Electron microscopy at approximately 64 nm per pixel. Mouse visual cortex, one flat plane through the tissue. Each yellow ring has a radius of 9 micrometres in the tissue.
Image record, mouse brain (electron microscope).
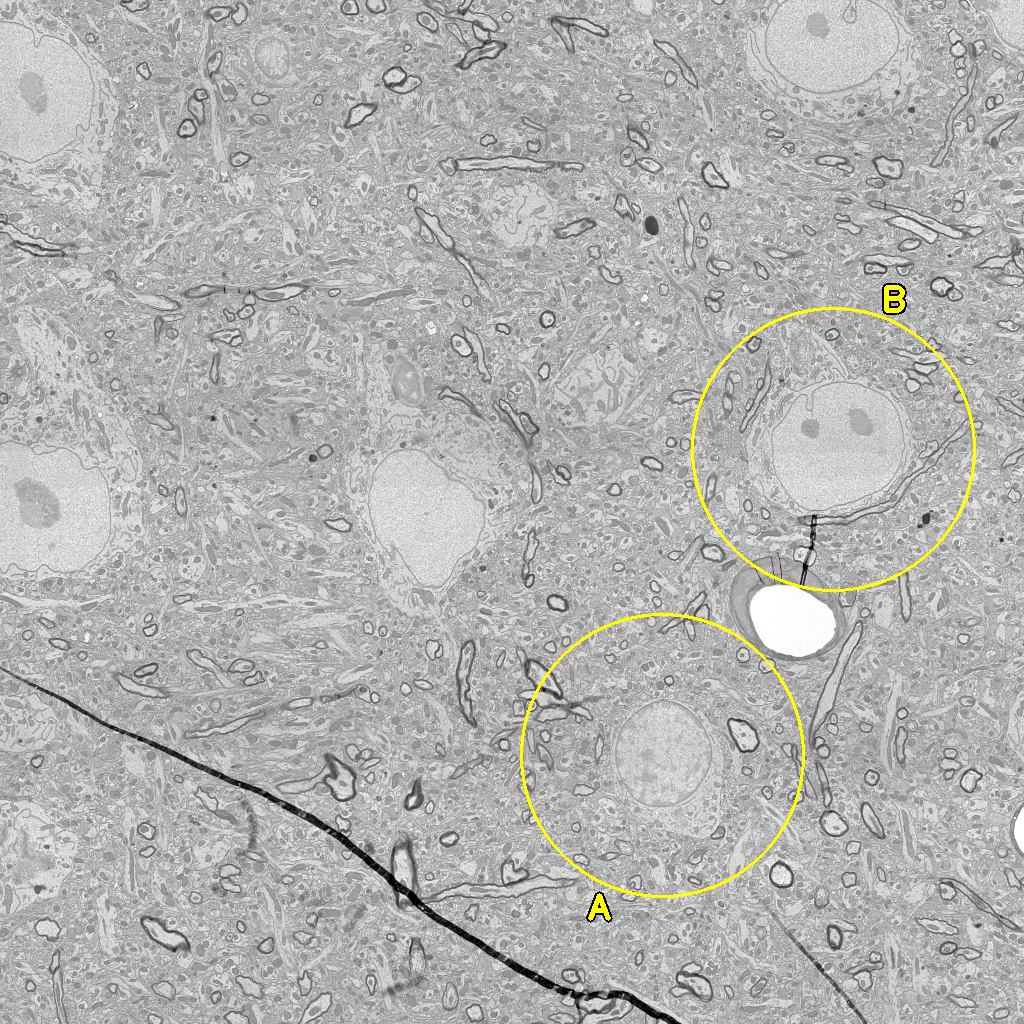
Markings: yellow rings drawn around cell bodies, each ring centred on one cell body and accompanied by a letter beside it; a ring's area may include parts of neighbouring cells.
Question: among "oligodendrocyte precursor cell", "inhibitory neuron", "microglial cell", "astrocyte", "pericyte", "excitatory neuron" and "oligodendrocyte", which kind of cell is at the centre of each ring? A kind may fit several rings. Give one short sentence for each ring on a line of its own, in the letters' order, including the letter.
Ring A is centred on the cell body of an oligodendrocyte.
Ring B is centred on the cell body of an excitatory neuron.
